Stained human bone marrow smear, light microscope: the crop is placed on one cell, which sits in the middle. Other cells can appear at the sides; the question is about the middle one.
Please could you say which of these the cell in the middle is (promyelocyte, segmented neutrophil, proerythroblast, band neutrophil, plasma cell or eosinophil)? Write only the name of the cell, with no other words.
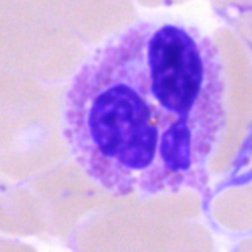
eosinophil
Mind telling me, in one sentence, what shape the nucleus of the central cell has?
If you check the nucleus, you will find it split into two or more lobes.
